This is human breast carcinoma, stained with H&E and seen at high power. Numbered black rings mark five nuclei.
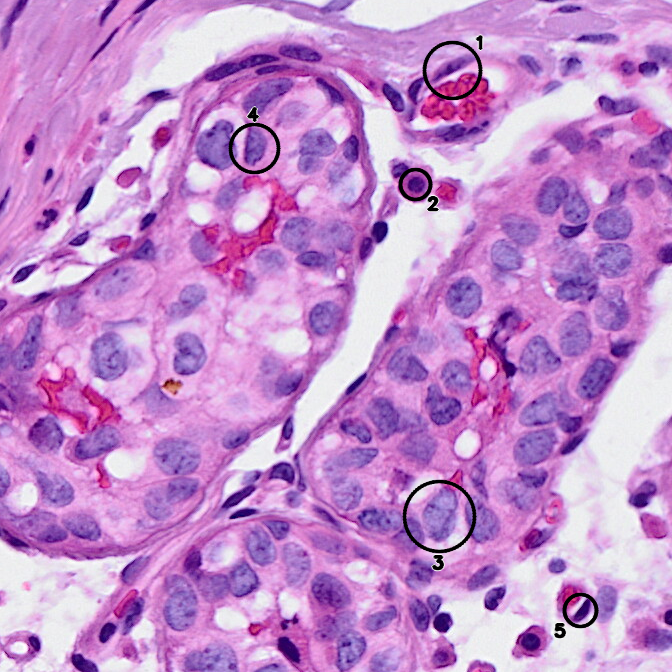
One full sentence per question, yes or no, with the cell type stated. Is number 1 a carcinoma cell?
No, cell 1 is not a carcinoma cell, but is instead an endothelial cell.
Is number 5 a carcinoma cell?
No, sorry, the cell labelled 5 is not a carcinoma cell; it is an endothelial cell.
